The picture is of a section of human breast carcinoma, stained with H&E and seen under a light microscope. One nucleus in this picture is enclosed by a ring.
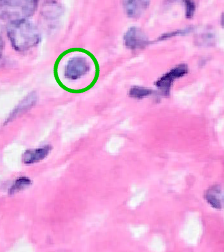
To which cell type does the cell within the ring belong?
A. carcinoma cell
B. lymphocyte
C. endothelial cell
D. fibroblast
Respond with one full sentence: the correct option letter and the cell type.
Option B is the one that fits, as the cell within the ring is a lymphocyte.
